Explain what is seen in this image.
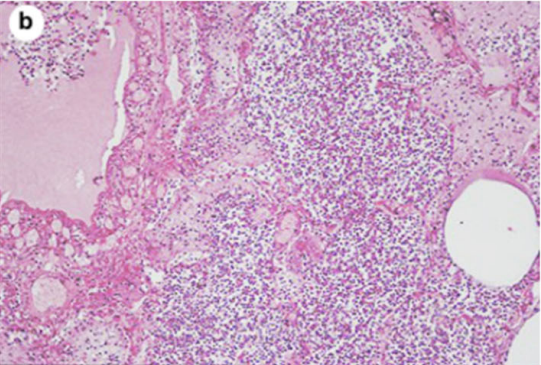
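This is lung tissue in which the air spaces are filled by an inflammatory exudate. Dense sheets of small cells with dark purple nuclei crowd the alveolar spaces, most heavily in the centre of the field. At the upper left, air spaces are filled instead with pale pink, homogeneous proteinaceous fluid. Thin pink alveolar septa still outline the filled spaces, and a few clear round spaces remain at the right edge. The normal airy pattern of the lung is largely lost.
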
